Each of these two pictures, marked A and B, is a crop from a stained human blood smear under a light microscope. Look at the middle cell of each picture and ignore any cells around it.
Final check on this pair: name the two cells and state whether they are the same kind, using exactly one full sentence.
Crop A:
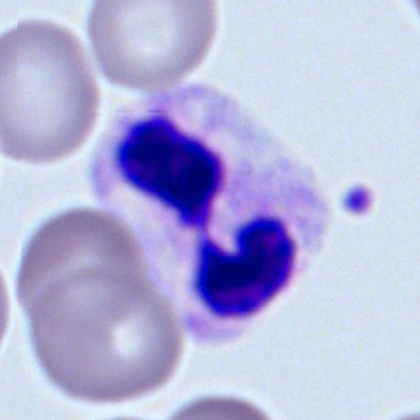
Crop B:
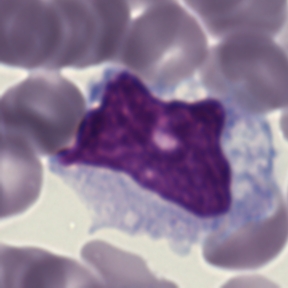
No: a segmented neutrophil sits in crop A, and a monocyte sits in crop B.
